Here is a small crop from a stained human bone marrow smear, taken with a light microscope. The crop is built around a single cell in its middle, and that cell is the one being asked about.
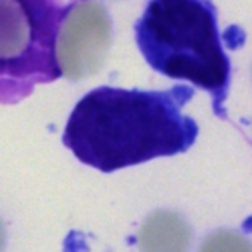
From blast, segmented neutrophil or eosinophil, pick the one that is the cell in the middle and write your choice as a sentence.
The cell at the central position in this crop is a blast.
